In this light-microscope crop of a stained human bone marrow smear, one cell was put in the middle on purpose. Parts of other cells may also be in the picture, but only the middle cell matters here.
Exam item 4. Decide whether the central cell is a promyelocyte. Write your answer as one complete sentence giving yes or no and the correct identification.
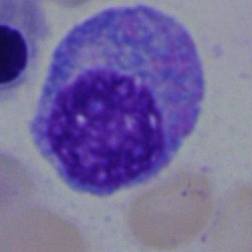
Yes, the cell sitting in the middle of this smear crop is a promyelocyte.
